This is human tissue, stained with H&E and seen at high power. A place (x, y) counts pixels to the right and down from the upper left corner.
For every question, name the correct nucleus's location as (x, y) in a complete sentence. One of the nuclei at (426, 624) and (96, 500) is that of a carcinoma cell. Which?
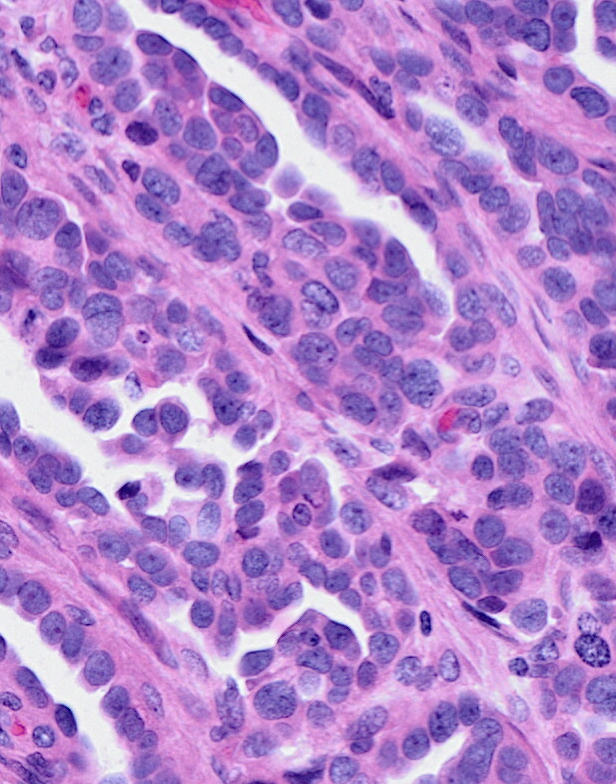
The nucleus located at (96, 500) is the one held within a carcinoma cell.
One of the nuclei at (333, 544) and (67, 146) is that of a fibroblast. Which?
Of these two nuclei, it is the one at (67, 146) that belongs to a fibroblast.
